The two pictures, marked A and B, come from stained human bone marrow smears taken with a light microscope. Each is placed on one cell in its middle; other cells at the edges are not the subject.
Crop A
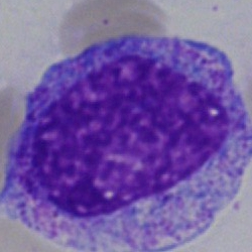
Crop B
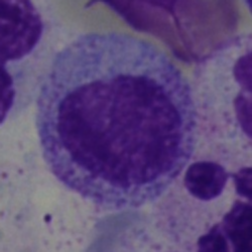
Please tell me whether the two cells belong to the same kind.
yes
